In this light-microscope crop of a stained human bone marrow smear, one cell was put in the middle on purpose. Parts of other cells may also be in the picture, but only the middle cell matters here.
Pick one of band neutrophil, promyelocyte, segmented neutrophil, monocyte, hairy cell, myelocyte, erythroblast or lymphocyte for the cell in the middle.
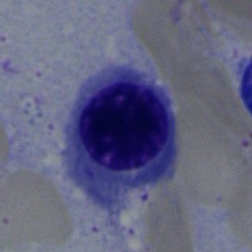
erythroblast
